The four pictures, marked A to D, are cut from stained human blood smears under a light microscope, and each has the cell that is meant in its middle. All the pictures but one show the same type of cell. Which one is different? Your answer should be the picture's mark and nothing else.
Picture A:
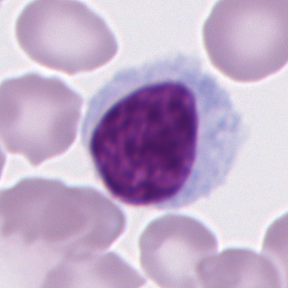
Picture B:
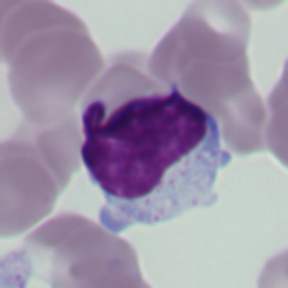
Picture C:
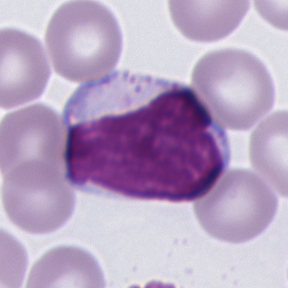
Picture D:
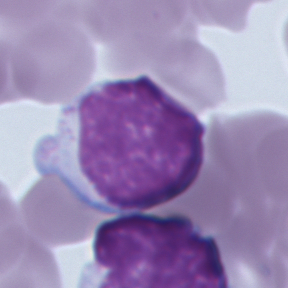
A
